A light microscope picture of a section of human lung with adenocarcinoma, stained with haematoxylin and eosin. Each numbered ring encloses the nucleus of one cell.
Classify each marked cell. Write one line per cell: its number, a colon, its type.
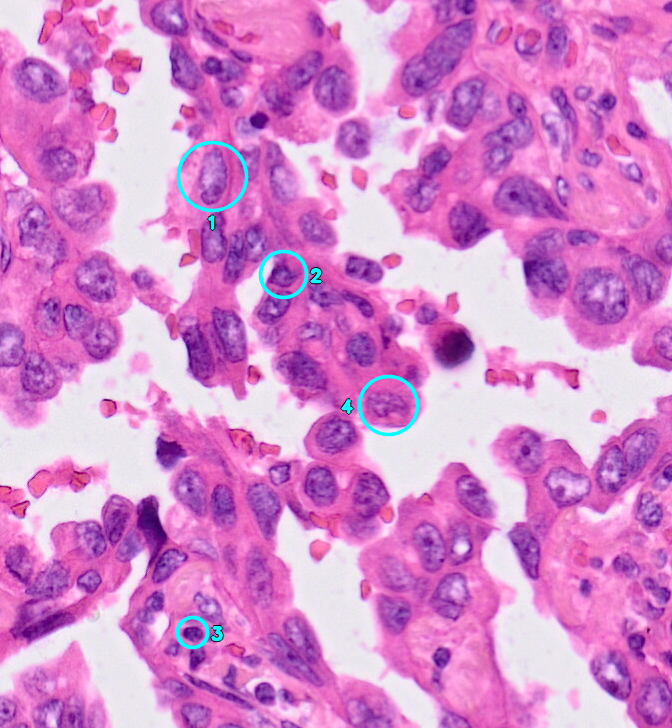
1: carcinoma cell
2: carcinoma cell
3: lymphocyte
4: carcinoma cell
